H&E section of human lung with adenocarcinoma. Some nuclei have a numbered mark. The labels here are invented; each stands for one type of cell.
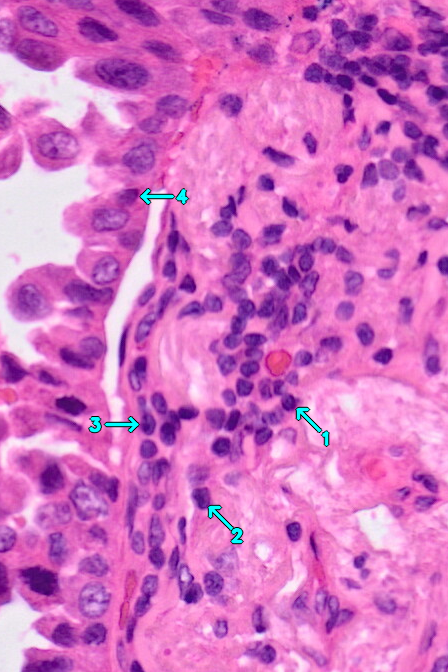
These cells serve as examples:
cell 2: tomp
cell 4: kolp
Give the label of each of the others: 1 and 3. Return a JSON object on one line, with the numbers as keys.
{"1": "tomp", "3": "tomp"}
